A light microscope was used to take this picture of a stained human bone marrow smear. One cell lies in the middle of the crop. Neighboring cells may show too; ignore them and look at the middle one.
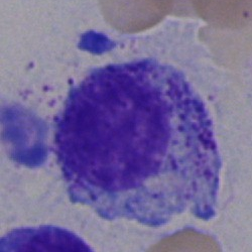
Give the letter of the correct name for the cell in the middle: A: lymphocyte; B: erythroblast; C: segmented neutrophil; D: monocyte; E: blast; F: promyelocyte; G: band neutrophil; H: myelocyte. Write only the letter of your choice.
H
